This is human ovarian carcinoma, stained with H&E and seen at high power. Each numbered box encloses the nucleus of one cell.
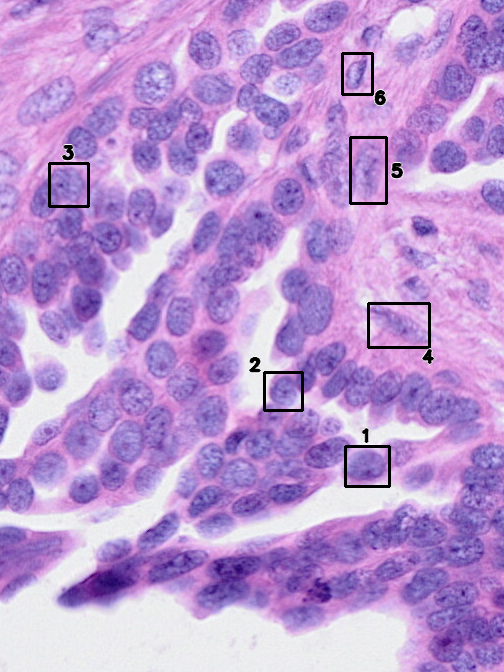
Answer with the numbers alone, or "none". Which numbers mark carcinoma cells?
1, 2, 3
